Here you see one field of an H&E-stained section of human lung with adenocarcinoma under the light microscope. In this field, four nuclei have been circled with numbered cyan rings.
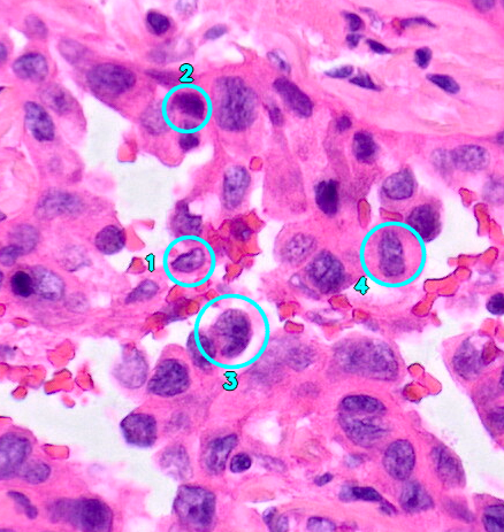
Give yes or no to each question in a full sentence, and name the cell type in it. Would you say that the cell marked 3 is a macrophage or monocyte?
No, a carcinoma cell, not a macrophage or monocyte, is the cell with number 3.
